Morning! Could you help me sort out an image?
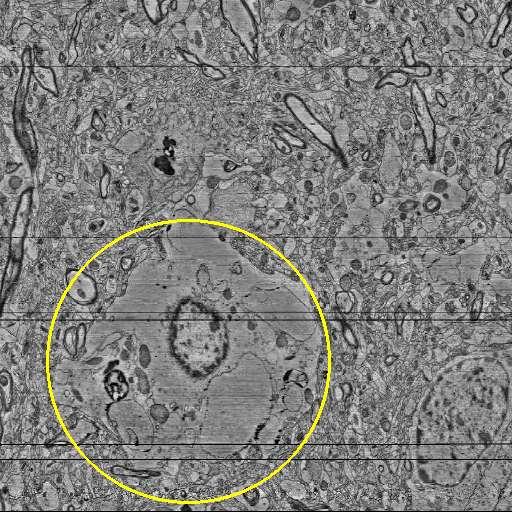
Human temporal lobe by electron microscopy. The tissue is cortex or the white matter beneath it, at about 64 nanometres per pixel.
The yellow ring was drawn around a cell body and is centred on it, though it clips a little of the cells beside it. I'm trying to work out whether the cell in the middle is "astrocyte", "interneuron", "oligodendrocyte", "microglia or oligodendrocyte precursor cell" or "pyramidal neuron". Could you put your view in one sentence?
The ringed cell body is that of an astrocyte.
